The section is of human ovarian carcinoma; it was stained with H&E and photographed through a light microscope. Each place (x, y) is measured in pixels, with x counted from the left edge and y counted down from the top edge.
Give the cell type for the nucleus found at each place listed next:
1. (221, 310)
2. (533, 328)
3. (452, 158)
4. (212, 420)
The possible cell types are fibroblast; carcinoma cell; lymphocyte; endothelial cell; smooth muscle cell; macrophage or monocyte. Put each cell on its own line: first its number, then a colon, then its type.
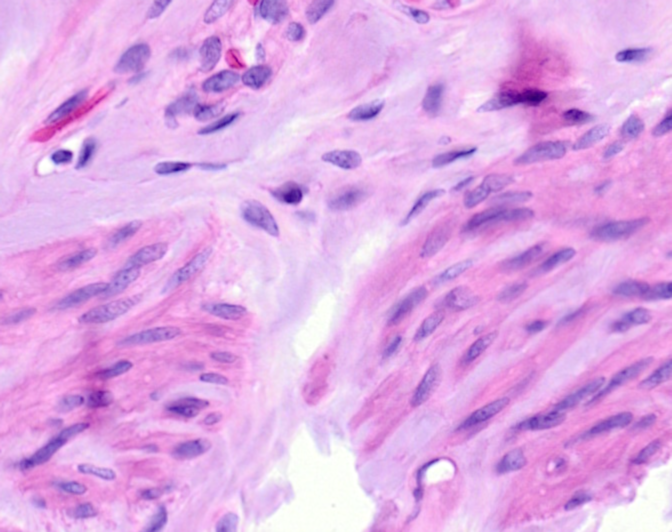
1: smooth muscle cell
2: smooth muscle cell
3: fibroblast
4: smooth muscle cell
